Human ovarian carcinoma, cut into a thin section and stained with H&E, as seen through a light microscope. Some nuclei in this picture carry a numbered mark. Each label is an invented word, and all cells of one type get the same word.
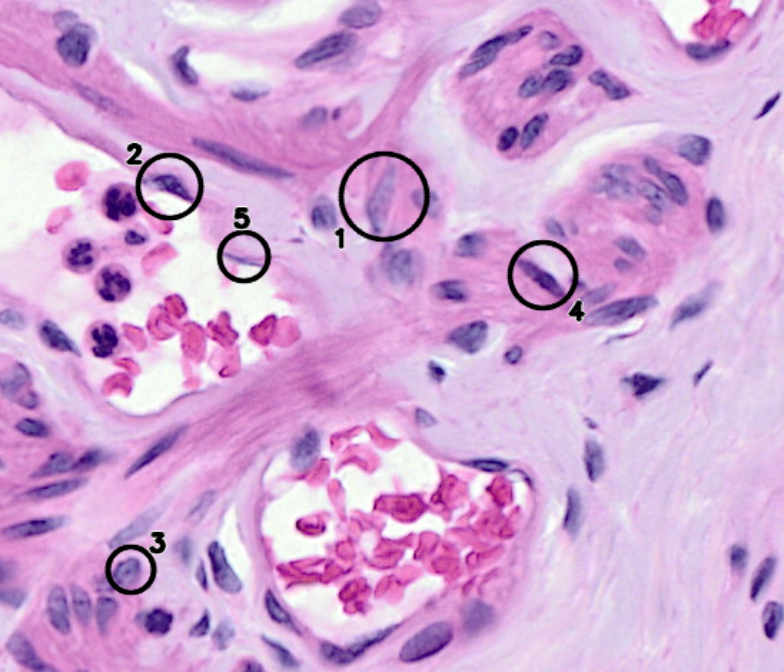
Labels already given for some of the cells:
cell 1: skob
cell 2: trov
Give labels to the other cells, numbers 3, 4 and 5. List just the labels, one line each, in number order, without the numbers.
skob
skob
trov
